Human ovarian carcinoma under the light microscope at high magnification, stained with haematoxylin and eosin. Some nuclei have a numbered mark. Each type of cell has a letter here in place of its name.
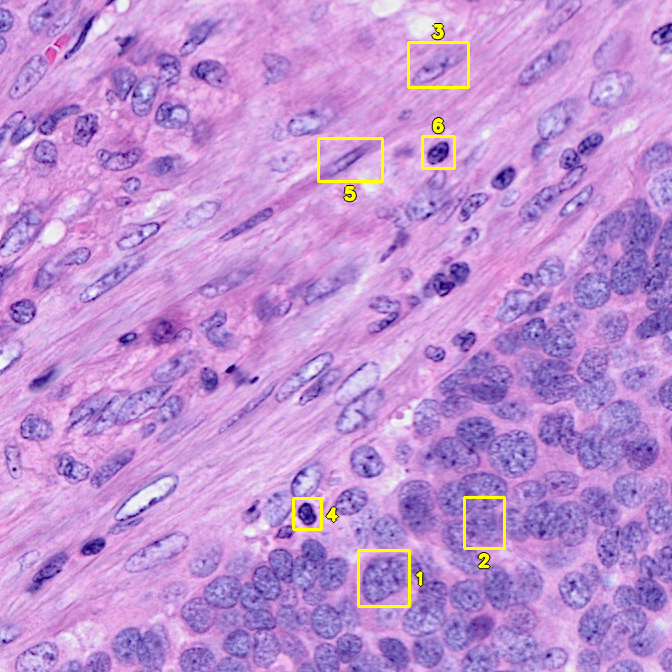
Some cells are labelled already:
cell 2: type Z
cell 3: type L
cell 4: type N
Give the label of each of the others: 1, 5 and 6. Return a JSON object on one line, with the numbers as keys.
{"1": "type Z", "5": "type L", "6": "type N"}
